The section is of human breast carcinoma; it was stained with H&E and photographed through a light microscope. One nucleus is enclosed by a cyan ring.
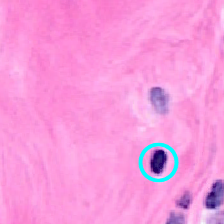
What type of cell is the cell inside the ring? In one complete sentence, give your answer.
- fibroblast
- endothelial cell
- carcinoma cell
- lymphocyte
As classified here, the cell inside the ring is a lymphocyte.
